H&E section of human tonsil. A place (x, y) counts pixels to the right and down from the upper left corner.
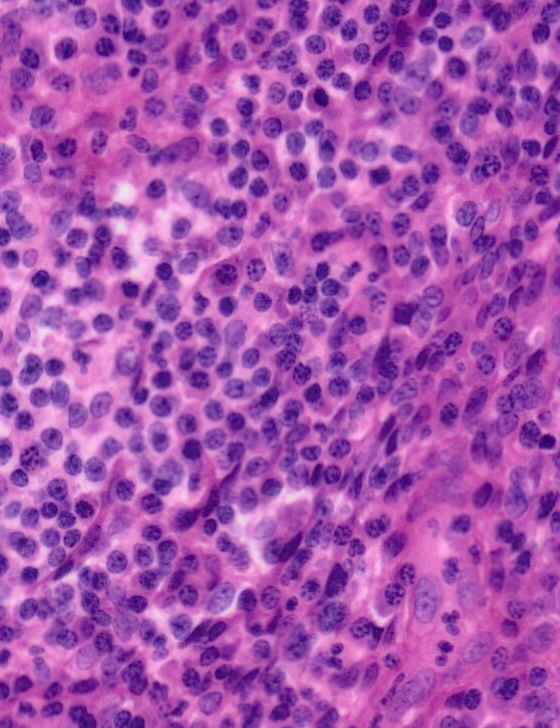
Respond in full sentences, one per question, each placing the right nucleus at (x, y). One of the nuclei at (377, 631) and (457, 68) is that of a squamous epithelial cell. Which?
Of the two, the nucleus lying at (377, 631) is the one belonging to a squamous epithelial cell.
